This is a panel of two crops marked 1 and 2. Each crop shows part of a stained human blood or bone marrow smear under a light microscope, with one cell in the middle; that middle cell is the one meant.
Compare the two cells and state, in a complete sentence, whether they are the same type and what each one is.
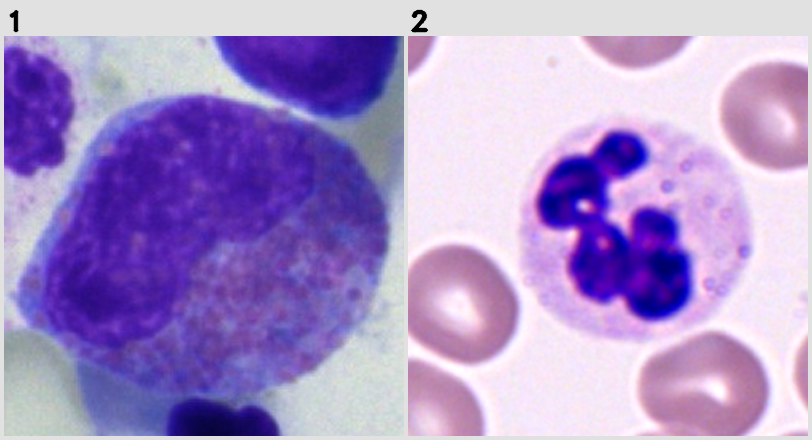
No, the correct reading is an eosinophil in crop 1 and a segmented neutrophil in crop 2.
